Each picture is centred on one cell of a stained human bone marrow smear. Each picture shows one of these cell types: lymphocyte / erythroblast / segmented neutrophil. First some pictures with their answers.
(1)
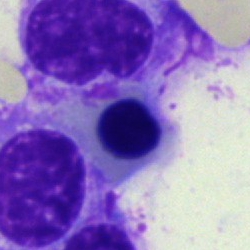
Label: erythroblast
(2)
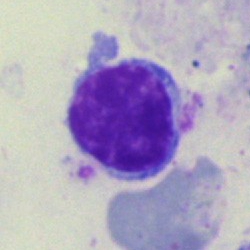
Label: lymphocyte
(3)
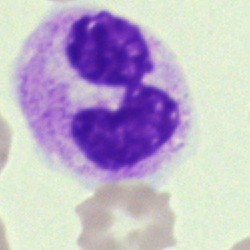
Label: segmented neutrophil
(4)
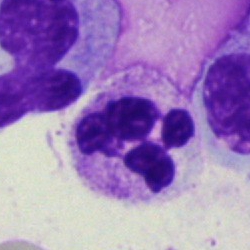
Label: segmented neutrophil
